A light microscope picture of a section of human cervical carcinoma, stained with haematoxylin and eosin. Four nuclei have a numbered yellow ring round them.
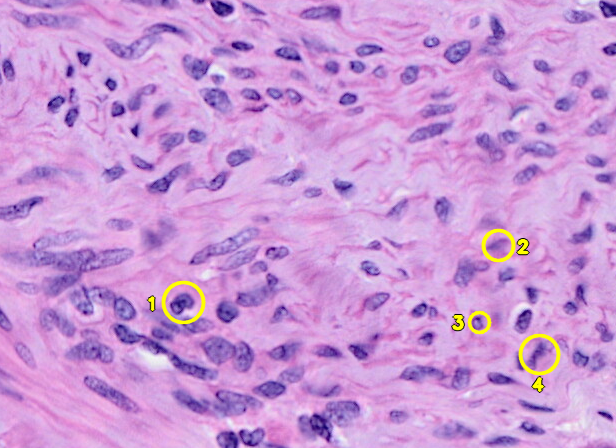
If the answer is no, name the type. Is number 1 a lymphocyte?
Yes.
